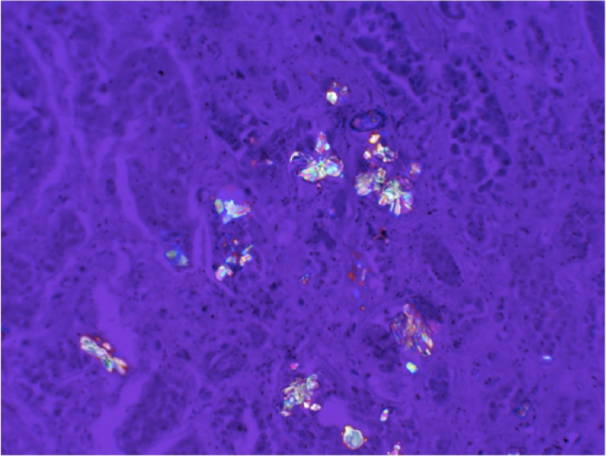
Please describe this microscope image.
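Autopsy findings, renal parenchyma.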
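Scattered through the field are clusters of crystals that glow white, yellow, blue and pink. The surrounding tissue shows faint outlines of tubules and scattered dark dots of nuclei, but little further cell detail. The crystals are not confined to one spot; groups of them appear in several places across the tissue, from the upper middle down to the lower left.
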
